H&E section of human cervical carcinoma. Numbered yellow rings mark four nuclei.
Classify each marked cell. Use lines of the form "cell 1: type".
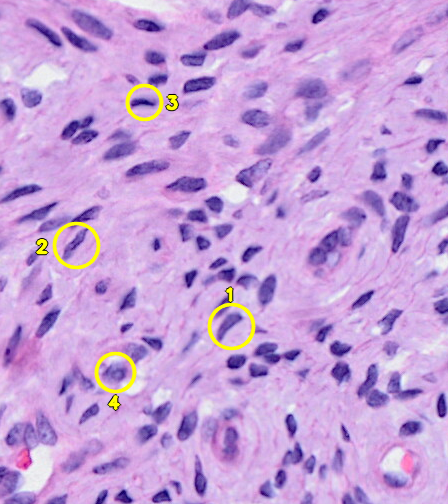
cell 1: fibroblast
cell 2: fibroblast
cell 3: fibroblast
cell 4: endothelial cell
